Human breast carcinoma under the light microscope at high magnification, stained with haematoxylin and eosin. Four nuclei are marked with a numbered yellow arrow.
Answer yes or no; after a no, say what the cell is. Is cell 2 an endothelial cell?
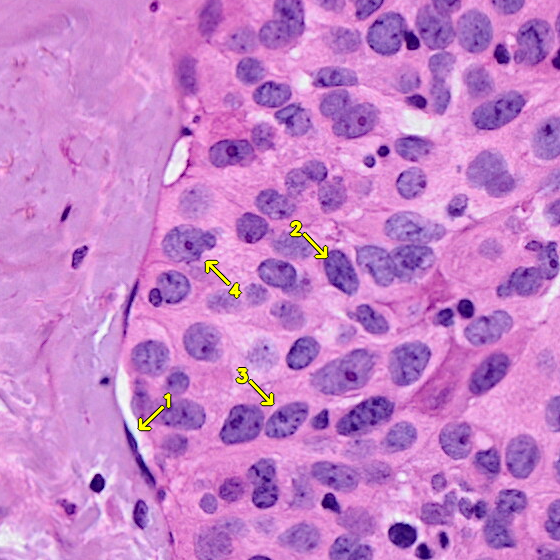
No, it is a carcinoma cell.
